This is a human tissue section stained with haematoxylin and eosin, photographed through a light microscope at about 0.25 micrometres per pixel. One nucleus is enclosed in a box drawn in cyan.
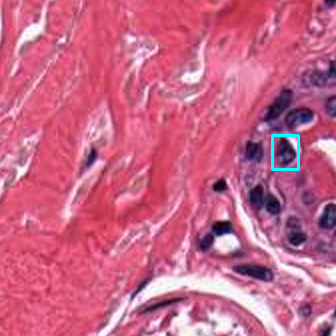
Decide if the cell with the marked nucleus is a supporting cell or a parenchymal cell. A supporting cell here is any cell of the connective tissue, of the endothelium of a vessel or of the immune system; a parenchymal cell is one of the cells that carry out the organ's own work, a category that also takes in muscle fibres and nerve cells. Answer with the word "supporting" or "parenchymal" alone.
parenchymal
